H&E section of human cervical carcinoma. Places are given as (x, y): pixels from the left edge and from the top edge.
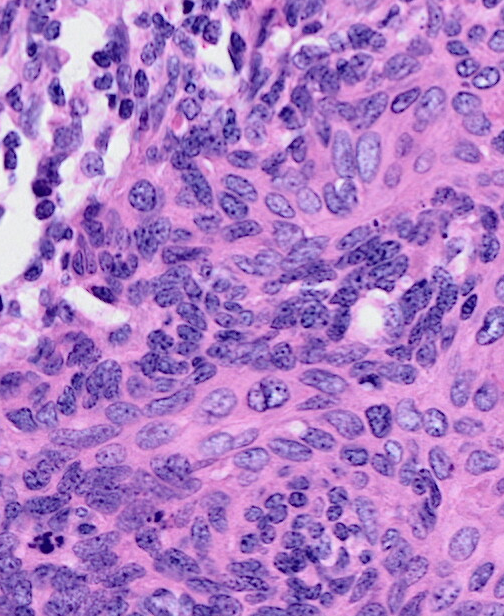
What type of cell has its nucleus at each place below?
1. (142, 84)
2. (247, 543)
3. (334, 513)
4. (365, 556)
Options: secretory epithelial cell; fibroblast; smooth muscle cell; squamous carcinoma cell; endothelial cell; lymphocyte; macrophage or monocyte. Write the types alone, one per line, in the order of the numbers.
lymphocyte
squamous carcinoma cell
squamous carcinoma cell
squamous carcinoma cell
